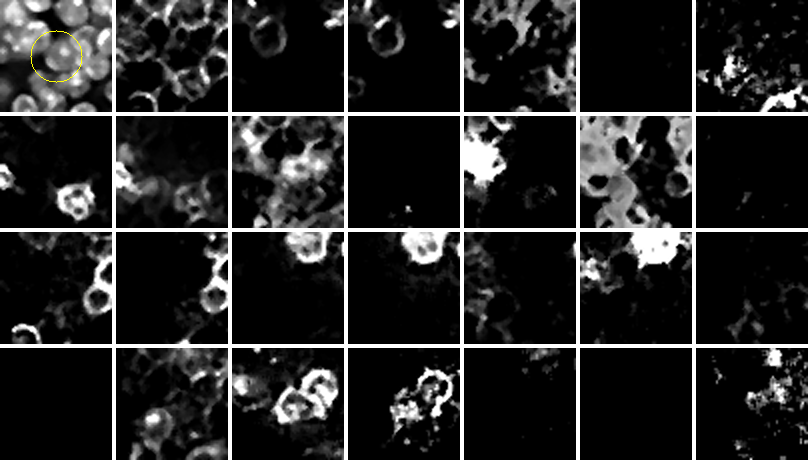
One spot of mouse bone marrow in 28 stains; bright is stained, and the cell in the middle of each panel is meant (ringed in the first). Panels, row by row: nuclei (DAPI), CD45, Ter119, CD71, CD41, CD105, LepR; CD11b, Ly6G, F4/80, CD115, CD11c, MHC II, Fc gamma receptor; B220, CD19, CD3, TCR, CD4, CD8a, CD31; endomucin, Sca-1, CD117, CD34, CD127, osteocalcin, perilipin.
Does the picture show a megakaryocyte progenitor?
No, it shows a megakaryocyte-erythroid progenitor.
